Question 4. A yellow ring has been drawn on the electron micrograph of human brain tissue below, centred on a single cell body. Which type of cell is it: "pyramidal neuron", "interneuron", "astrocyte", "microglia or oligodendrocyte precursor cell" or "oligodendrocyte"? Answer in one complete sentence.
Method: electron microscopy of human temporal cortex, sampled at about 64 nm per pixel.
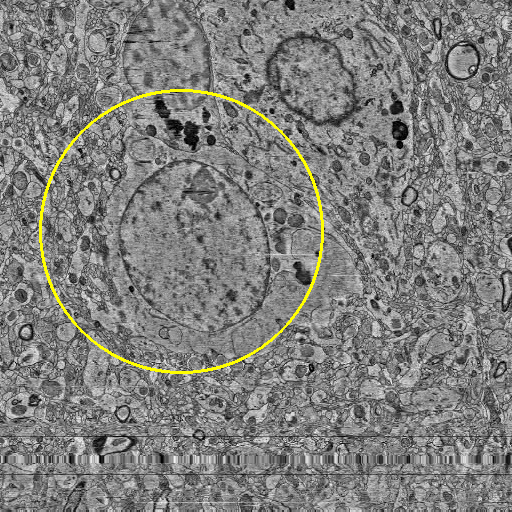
This cell body belongs to an astrocyte.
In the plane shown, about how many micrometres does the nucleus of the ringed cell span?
Approximately 12 x 9 micrometres in this plane.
